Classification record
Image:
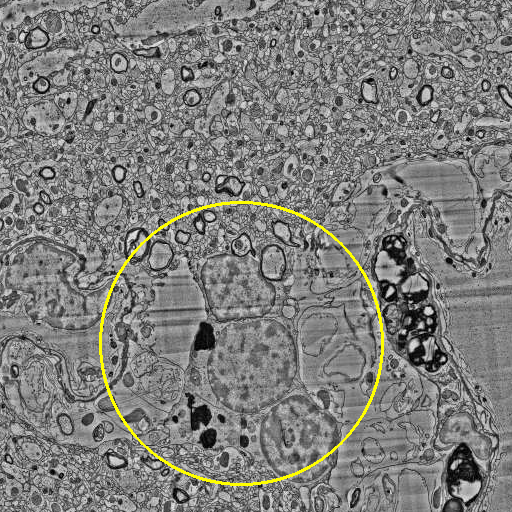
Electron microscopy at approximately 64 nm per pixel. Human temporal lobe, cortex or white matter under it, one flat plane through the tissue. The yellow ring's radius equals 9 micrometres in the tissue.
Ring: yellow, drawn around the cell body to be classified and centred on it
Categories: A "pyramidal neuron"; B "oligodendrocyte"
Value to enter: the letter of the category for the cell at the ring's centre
B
